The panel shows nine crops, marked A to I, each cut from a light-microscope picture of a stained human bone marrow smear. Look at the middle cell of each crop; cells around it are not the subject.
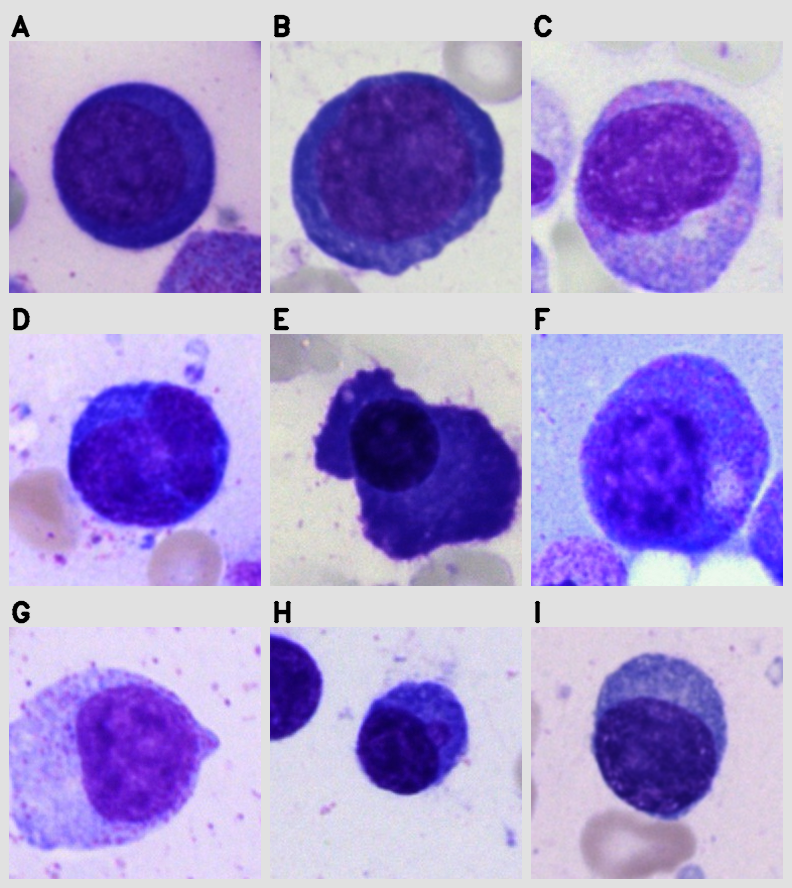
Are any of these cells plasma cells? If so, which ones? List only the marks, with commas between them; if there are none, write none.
E, H, I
